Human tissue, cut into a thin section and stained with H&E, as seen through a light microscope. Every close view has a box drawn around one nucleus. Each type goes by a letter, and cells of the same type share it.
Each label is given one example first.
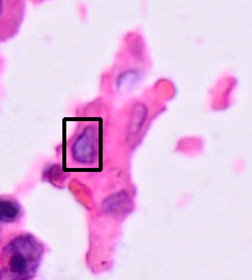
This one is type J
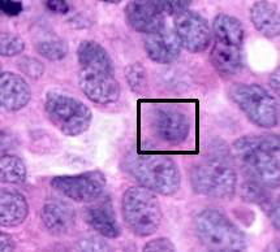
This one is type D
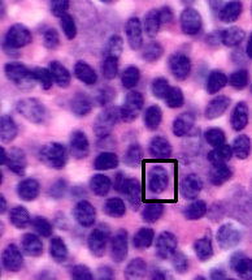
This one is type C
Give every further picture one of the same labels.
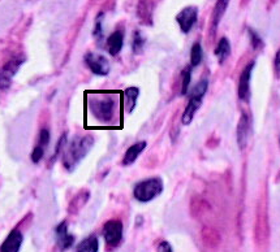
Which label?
type J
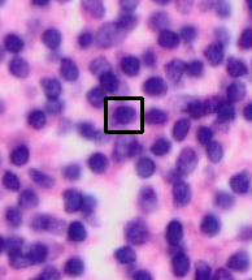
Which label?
type C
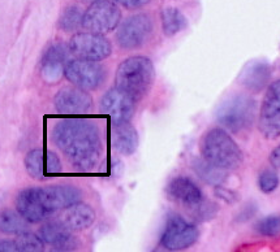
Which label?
type D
